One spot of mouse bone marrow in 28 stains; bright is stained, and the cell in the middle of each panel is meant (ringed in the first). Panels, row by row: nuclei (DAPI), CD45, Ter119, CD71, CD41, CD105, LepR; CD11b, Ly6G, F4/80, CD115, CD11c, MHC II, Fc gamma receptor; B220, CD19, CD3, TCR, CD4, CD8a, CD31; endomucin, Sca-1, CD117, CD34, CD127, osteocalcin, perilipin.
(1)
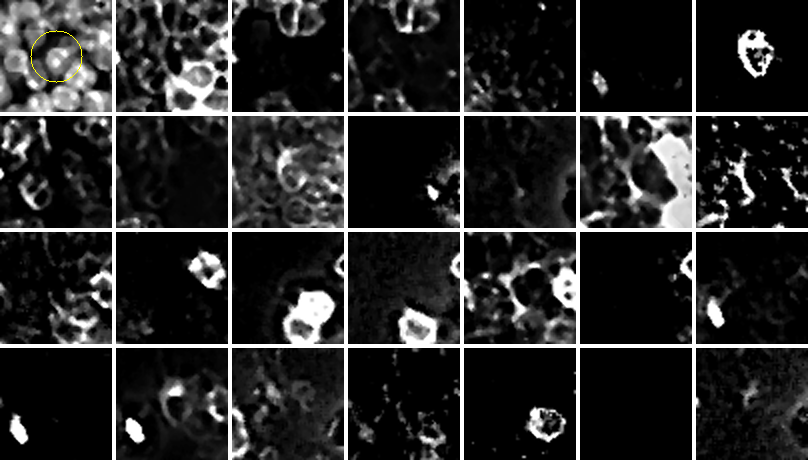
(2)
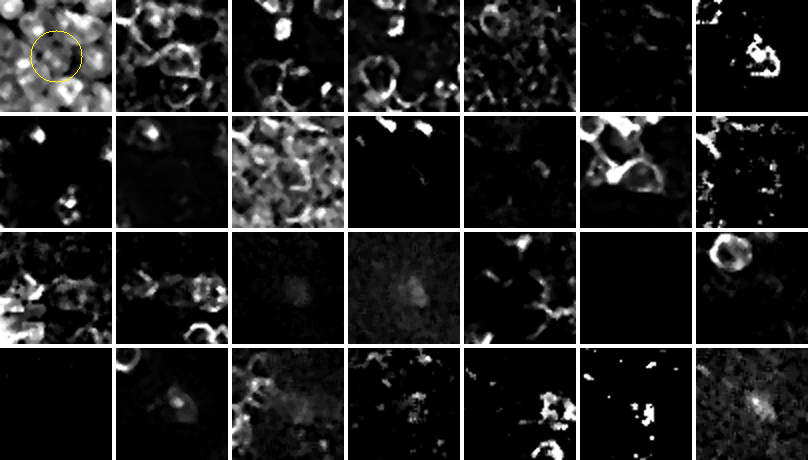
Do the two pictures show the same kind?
Yes, both are LepR-positive perivascular cells.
